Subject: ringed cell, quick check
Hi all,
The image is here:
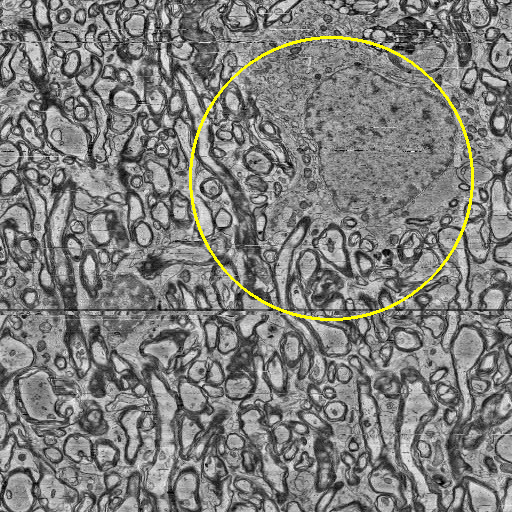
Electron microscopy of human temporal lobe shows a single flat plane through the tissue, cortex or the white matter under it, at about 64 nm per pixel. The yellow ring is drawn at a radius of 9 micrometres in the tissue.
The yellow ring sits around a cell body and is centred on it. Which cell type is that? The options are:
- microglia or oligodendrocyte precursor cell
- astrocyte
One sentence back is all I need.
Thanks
That ringed cell is an astrocyte.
